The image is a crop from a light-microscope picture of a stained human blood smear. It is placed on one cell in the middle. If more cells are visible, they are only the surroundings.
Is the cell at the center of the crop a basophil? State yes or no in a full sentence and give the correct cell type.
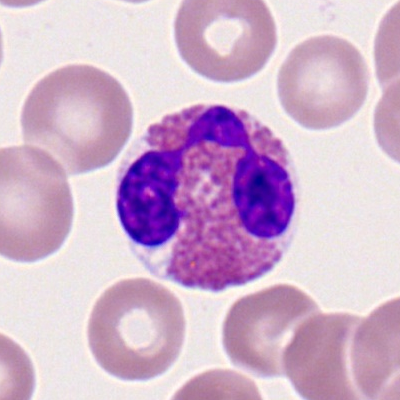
No, the cell sitting in the centre of the crop is an eosinophil, not a basophil.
